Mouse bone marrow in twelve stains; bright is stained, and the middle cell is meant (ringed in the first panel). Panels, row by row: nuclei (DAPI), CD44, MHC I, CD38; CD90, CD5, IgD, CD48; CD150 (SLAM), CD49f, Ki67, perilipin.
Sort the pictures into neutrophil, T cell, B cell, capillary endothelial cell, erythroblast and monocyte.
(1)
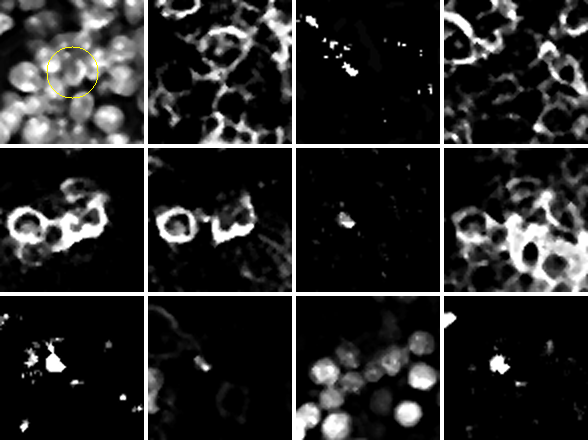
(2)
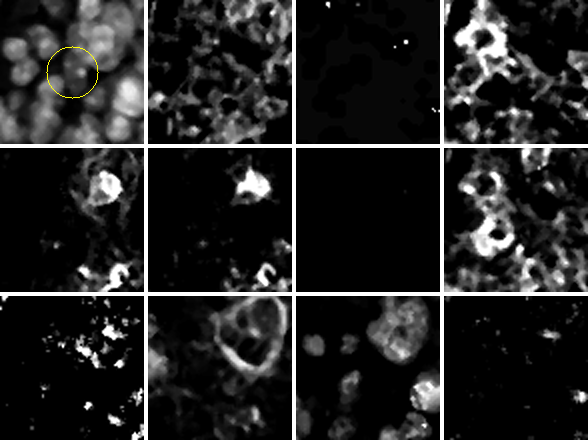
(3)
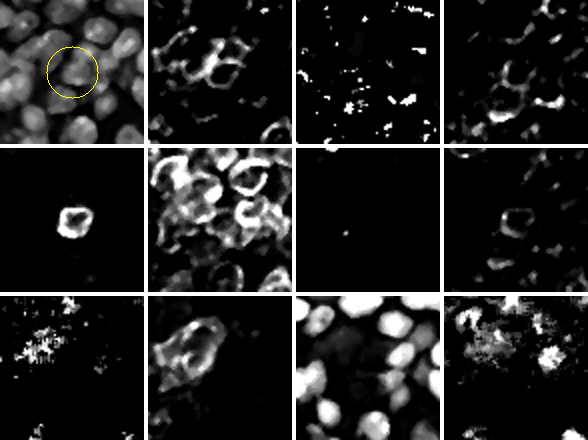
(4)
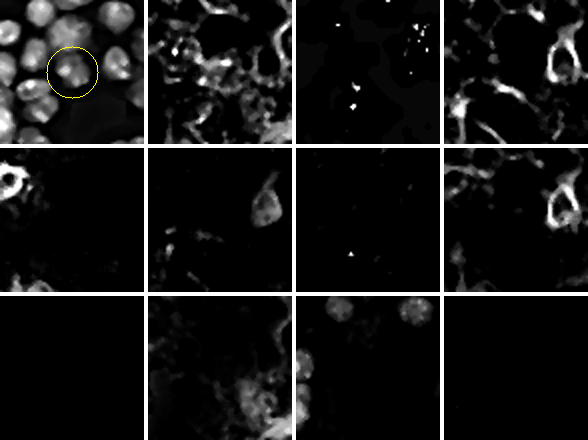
T cells: 1, 3
Capillary endothelial cells: 2
Neutrophils: 4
